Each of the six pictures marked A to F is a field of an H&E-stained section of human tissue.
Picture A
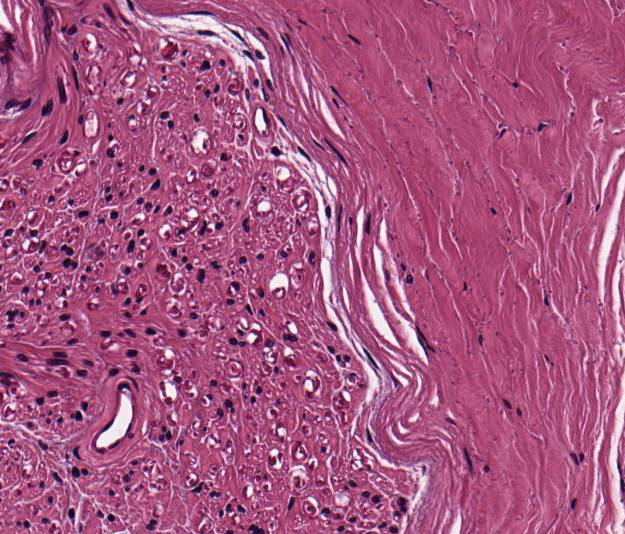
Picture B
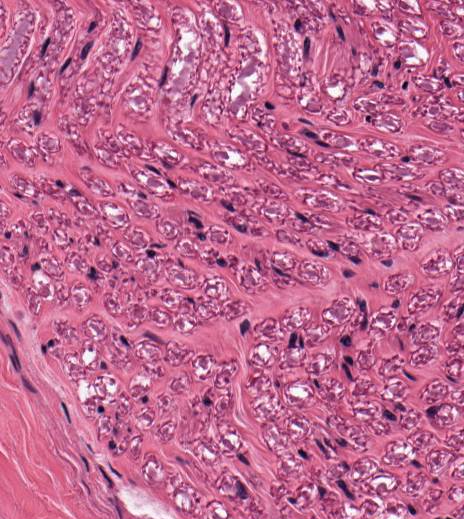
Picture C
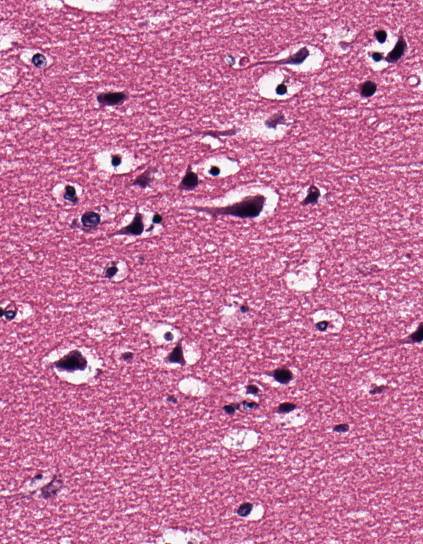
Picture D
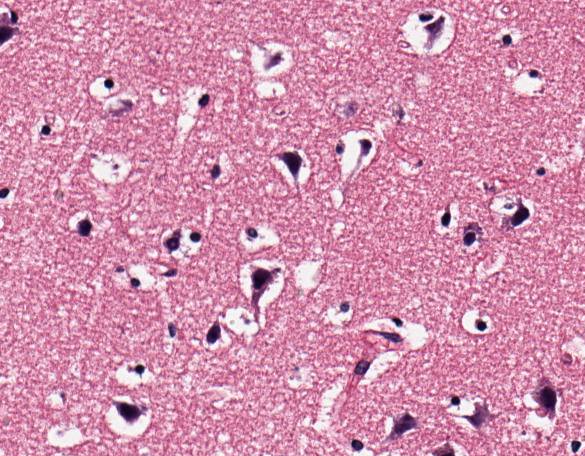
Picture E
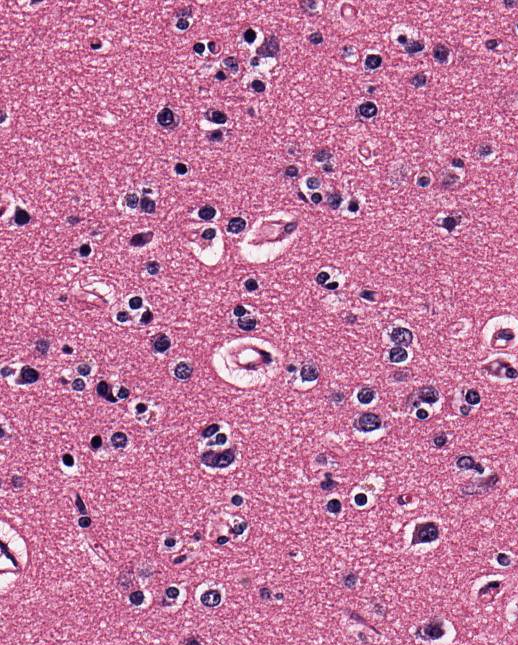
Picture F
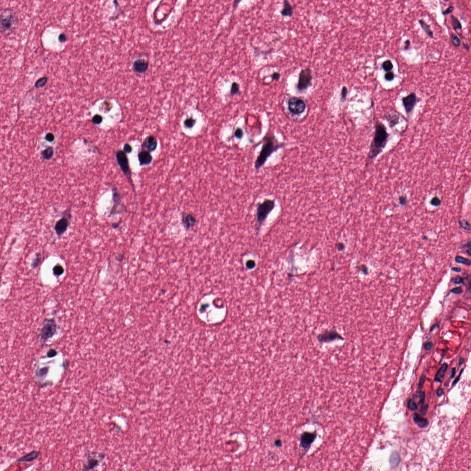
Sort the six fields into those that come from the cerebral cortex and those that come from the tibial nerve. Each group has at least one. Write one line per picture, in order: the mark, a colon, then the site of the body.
A: tibial nerve
B: tibial nerve
C: cerebral cortex
D: cerebral cortex
E: cerebral cortex
F: cerebral cortex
